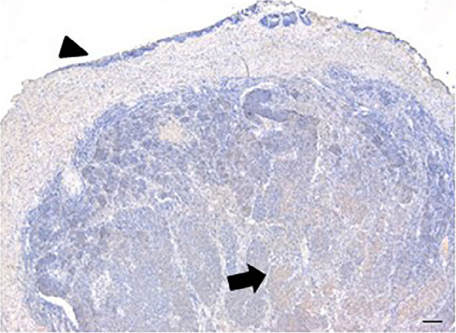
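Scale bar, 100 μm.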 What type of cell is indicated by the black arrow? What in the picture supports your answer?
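Tumor cells. The arrow points into a large, densely cellular mass beneath the surface. The mass is made of crowded nests and sheets of cells. The region at the arrow is tinged brown.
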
